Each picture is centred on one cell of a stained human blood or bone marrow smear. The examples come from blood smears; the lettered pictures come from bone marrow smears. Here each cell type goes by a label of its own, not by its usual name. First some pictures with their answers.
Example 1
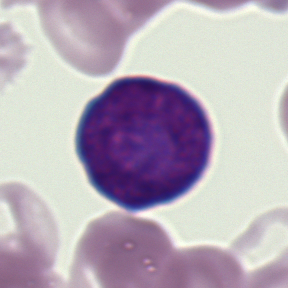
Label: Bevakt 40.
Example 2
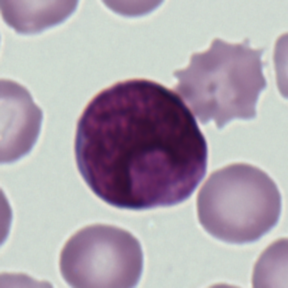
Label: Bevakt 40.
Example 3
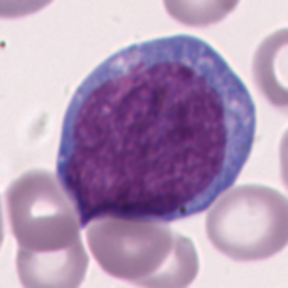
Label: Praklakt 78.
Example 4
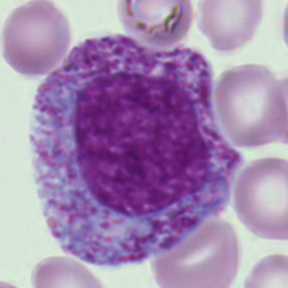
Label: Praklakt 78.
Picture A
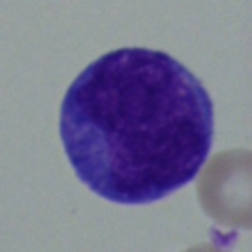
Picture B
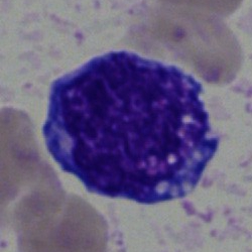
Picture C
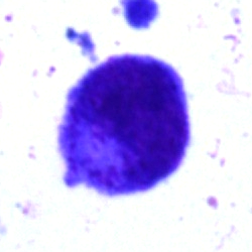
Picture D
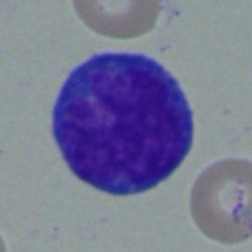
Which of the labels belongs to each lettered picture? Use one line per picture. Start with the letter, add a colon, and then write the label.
A: Bevakt 40.
B: Praklakt 78.
C: Praklakt 78.
D: Bevakt 40.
